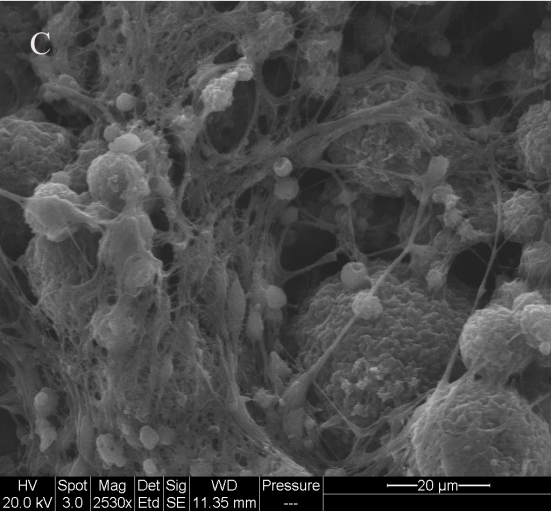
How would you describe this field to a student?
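The fibres cross over one another and bridge between cells at different depths instead of lying flat. Rounded cell bodies and small spherical bodies are caught within the meshwork. Large rounded masses with a pitted, textured surface lie beneath and beside the fibre network.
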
